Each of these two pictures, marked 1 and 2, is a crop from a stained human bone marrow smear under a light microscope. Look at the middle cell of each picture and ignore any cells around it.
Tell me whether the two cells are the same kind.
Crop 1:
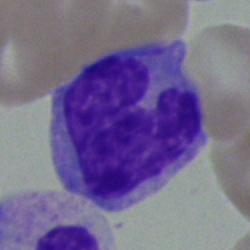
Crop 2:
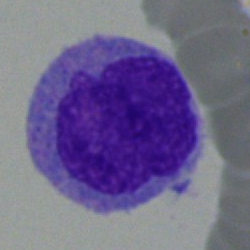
yes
